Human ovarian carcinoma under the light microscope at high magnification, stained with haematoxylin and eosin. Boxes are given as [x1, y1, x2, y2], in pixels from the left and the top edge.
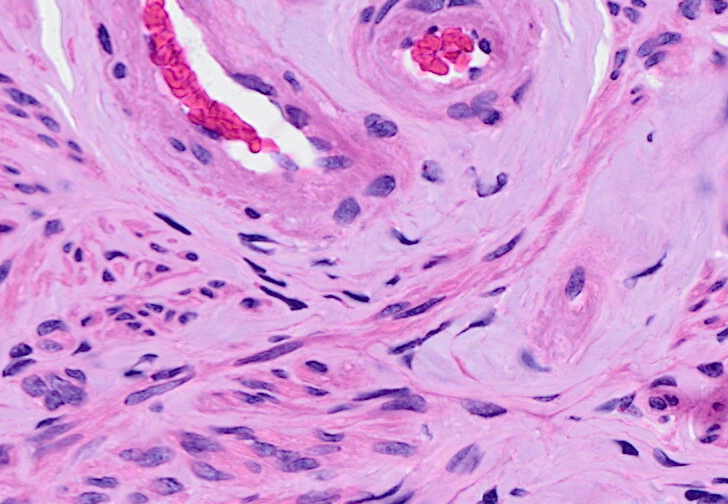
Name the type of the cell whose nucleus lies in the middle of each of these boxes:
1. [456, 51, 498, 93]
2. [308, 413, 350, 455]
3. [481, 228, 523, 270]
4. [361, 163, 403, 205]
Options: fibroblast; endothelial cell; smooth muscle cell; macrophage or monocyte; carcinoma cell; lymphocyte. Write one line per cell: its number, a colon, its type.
1: endothelial cell
2: smooth muscle cell
3: smooth muscle cell
4: smooth muscle cell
